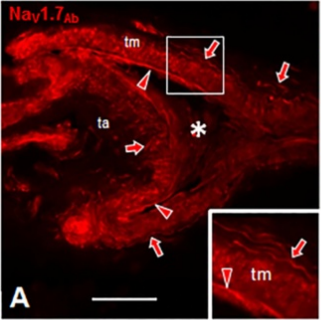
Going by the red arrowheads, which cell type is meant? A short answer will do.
endothelial cells of tunica intima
